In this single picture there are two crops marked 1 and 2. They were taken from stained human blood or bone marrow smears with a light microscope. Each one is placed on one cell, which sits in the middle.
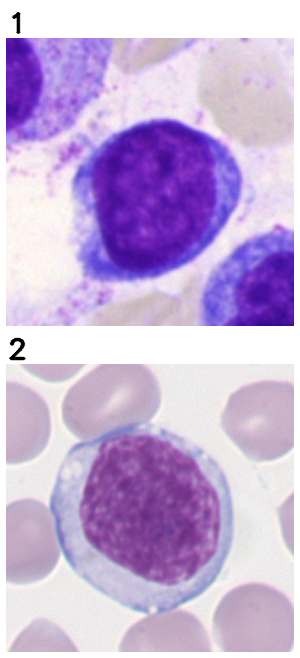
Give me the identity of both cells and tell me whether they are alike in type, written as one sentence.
No, crop 1 shows a lymphocyte, with a blast shown in crop 2.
